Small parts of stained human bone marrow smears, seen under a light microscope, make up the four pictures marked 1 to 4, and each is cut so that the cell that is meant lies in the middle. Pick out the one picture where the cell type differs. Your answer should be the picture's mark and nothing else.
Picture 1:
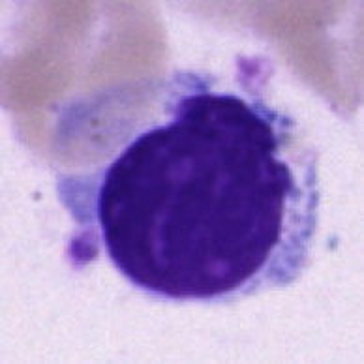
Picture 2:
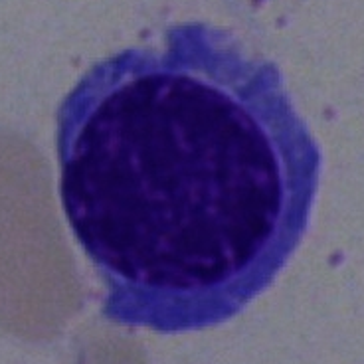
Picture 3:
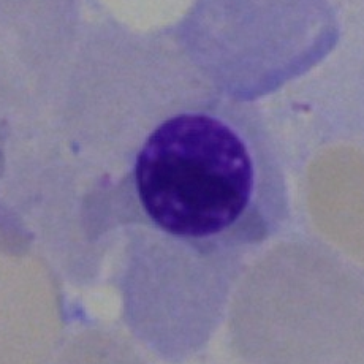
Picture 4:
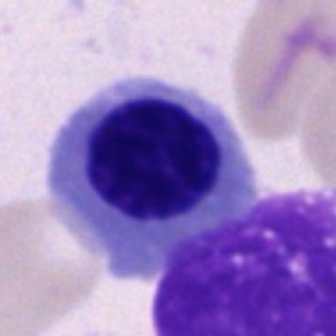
1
